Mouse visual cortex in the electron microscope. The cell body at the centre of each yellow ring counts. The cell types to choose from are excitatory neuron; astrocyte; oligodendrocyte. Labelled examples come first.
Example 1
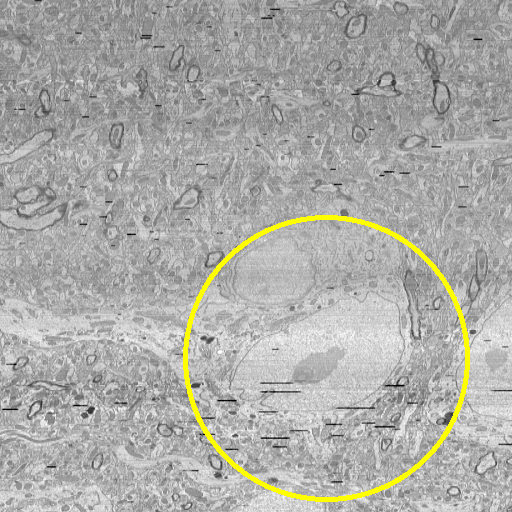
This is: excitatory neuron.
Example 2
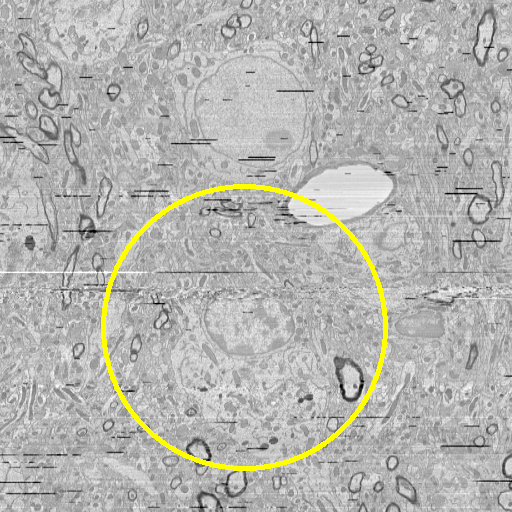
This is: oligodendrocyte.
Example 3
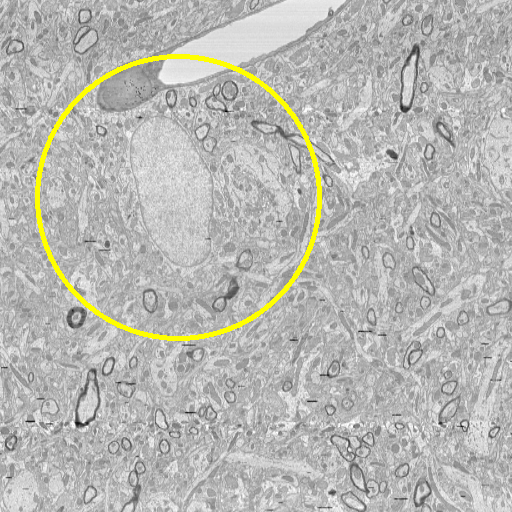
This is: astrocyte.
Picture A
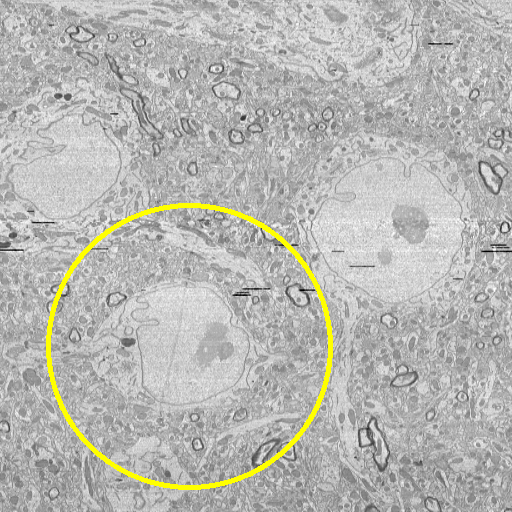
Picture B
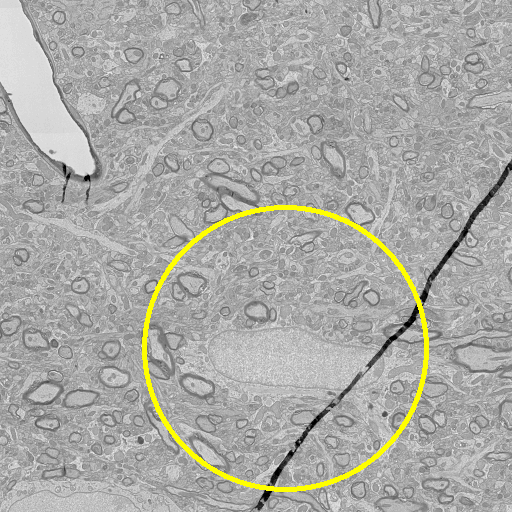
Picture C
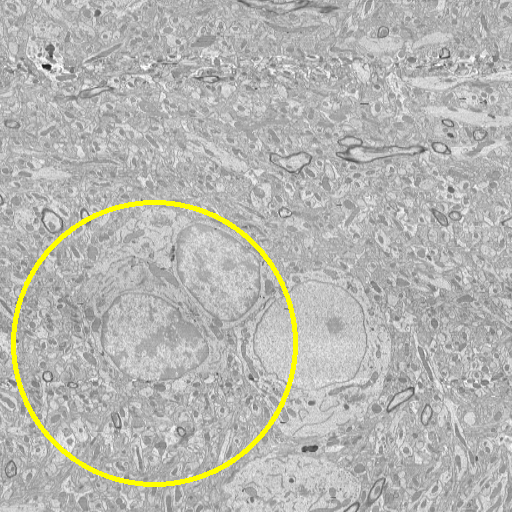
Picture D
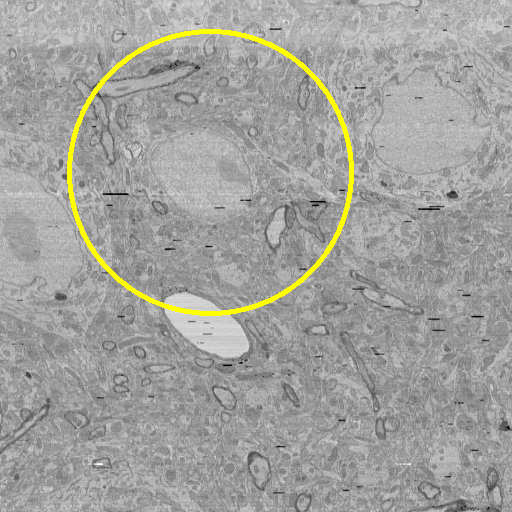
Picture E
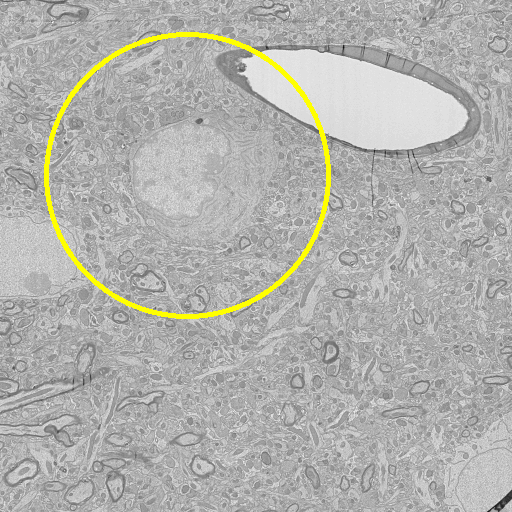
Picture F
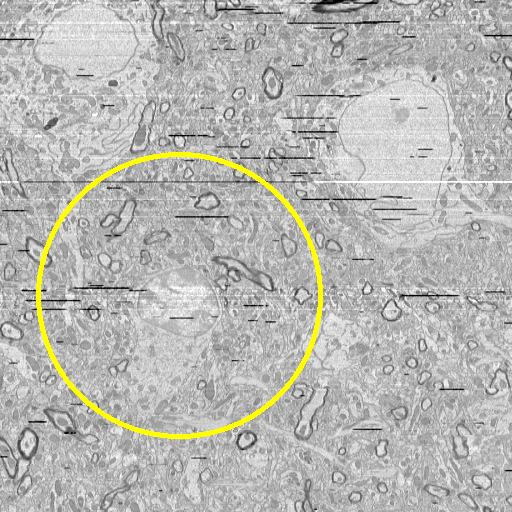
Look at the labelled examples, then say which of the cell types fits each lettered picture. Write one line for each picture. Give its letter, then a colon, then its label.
A: excitatory neuron.
B: astrocyte.
C: oligodendrocyte.
D: astrocyte.
E: oligodendrocyte.
F: oligodendrocyte.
